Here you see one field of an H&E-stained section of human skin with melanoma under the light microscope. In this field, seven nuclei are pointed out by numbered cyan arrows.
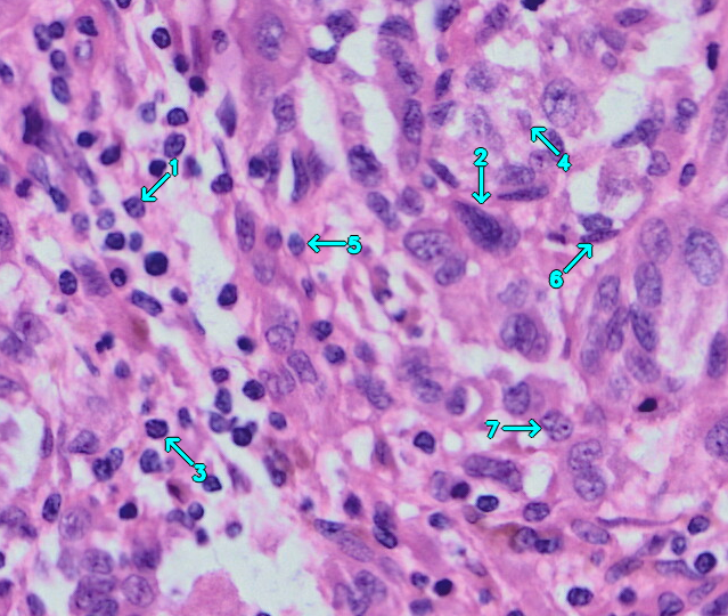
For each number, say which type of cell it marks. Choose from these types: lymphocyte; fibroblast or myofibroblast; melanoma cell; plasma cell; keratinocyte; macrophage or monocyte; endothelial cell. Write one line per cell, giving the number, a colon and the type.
1: lymphocyte
2: melanoma cell
3: lymphocyte
4: melanoma cell
5: lymphocyte
6: melanoma cell
7: melanoma cell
